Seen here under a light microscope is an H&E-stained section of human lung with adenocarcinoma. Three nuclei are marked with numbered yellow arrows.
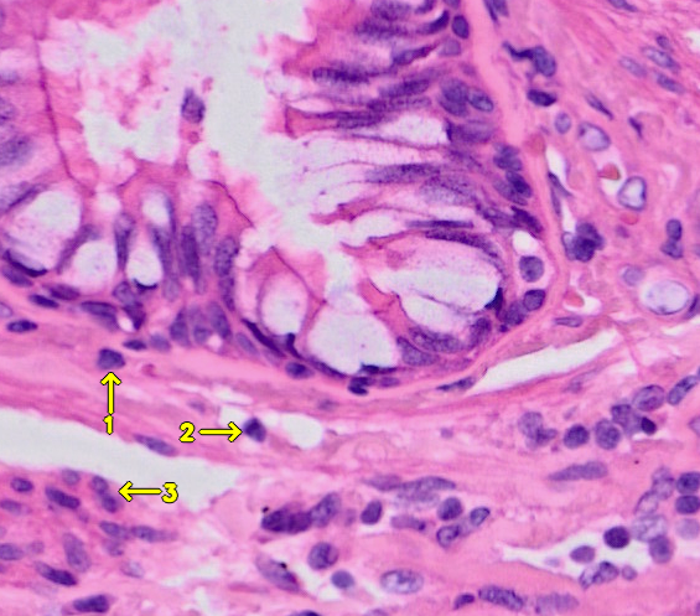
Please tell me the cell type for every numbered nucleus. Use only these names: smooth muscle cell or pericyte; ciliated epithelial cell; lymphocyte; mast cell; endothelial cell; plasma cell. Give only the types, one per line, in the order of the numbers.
mast cell
lymphocyte
smooth muscle cell or pericyte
